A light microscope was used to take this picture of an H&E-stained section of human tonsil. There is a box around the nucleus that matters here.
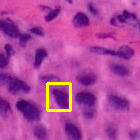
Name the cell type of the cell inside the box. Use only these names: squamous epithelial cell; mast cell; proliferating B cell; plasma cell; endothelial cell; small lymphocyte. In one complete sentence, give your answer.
In the stained section, the cell inside the box is a squamous epithelial cell.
